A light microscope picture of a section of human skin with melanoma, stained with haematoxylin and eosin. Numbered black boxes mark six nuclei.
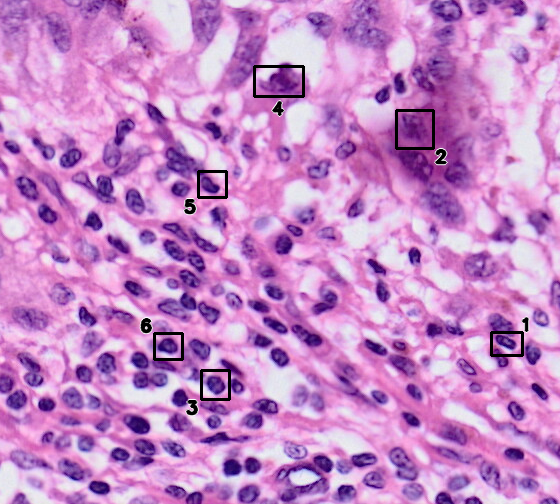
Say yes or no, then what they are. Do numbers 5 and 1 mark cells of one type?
Yes, the cell labelled 5 and the cell labelled 1 are both lymphocytes.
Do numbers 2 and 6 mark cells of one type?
No, cell number 2 is a melanoma cell, and cell number 6 is a lymphocyte.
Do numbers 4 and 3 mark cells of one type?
No, that is not right: cell 4 is a melanoma cell and cell 3 is a lymphocyte.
